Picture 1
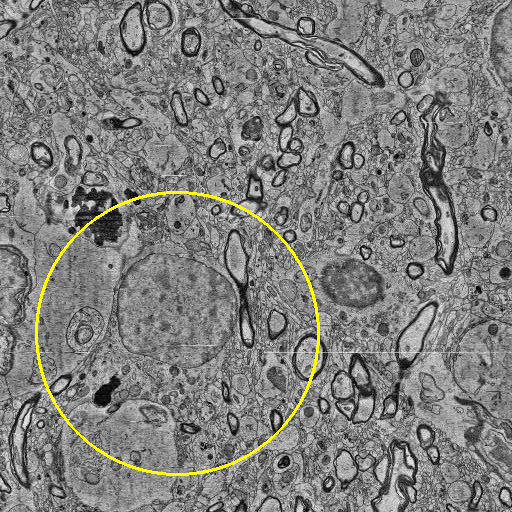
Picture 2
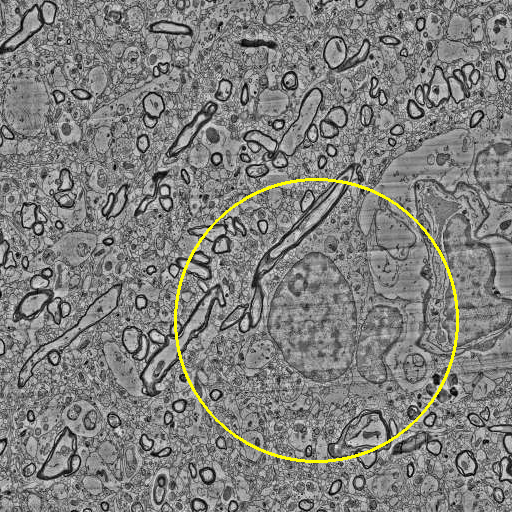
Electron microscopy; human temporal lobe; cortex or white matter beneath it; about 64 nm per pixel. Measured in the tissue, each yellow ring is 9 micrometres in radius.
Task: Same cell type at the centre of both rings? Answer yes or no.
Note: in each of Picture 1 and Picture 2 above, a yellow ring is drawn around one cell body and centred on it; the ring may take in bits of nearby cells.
yes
